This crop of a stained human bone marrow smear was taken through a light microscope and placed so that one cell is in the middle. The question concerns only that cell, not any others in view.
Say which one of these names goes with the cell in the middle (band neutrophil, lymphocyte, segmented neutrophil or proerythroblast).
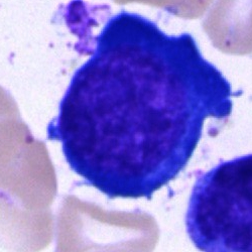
proerythroblast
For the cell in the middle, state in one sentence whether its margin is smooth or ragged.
Irregular and not smooth, the cell boundary is ragged or drawn out into projections.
